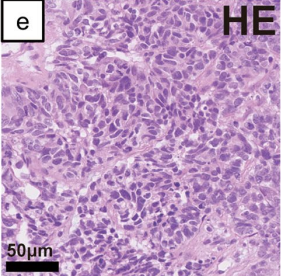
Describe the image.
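Tumor tissue in which crowded tumor cells lie in solid sheets, separated only by thin pink strands of fibrous stroma. The cells have oval to elongated, dark purple nuclei that nearly fill them, with scant pale cytoplasm and poorly defined cell borders.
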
